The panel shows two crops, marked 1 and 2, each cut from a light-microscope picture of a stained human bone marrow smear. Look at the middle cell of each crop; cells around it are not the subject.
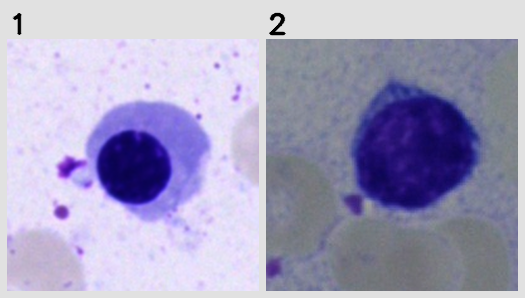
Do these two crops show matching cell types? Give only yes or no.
no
